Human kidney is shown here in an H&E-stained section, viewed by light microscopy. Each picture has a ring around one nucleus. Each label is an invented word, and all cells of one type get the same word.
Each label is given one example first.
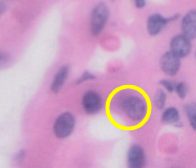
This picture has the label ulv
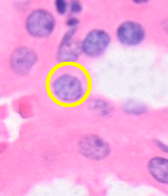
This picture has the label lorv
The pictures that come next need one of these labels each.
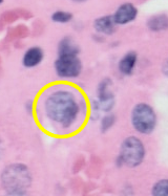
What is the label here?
lorv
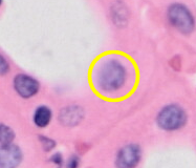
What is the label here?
lorv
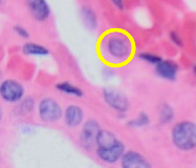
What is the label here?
lorv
